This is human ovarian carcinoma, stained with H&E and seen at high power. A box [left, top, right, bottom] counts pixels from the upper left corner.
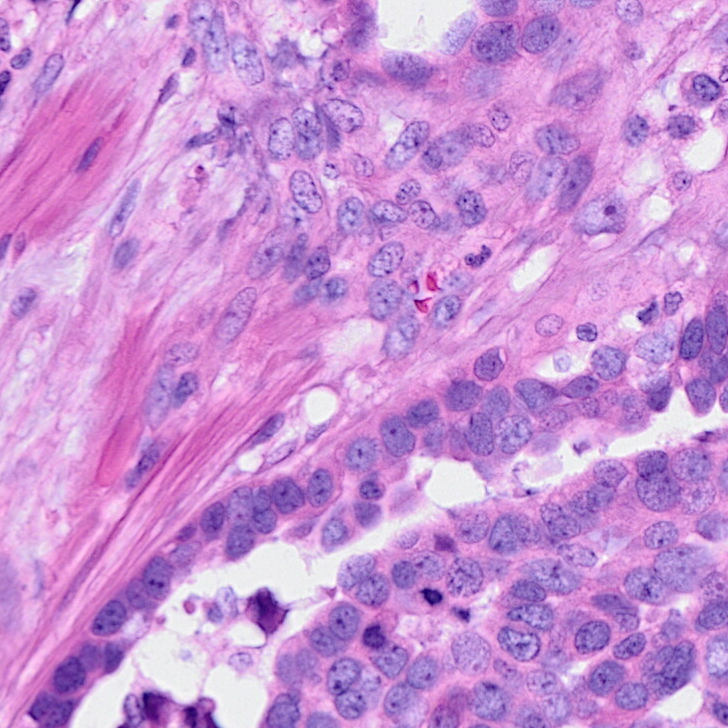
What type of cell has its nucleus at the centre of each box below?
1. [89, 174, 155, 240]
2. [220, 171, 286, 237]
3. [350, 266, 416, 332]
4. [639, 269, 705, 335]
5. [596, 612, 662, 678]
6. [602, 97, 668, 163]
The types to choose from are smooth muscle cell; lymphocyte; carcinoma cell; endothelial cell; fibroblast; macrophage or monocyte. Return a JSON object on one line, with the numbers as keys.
{"1": "fibroblast", "2": "fibroblast", "3": "endothelial cell", "4": "macrophage or monocyte", "5": "carcinoma cell", "6": "macrophage or monocyte"}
